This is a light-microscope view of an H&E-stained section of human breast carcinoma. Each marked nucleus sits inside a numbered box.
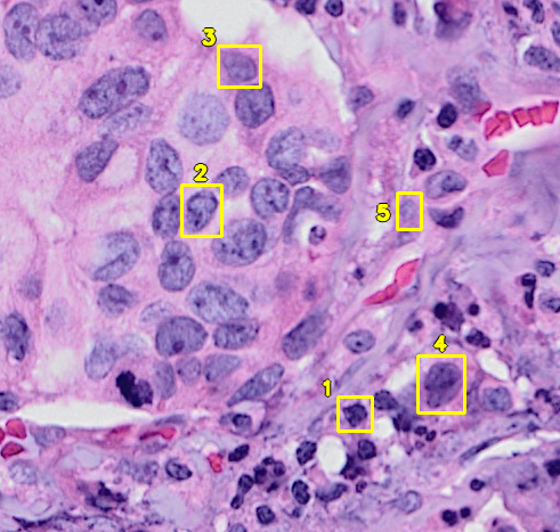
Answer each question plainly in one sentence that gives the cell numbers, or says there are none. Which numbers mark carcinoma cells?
Within the section, cells numbered 2, 3 and 4 are carcinoma cells.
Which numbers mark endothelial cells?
The cell bearing the number 5 is an endothelial cell, unlike the rest of the numbered cells.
